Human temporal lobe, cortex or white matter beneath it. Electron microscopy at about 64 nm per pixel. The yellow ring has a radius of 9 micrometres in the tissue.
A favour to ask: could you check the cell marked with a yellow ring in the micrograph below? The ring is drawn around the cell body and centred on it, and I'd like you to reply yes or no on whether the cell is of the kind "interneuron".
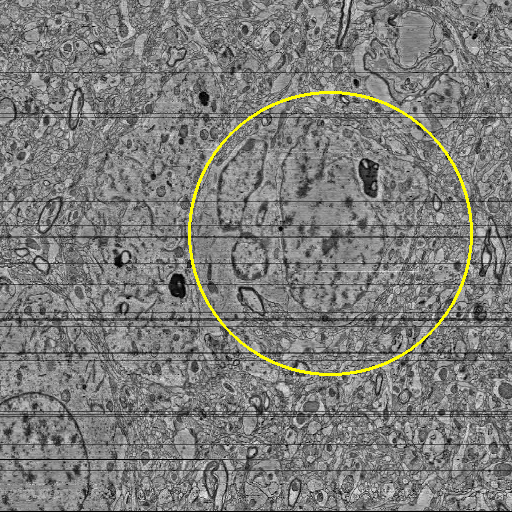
yes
